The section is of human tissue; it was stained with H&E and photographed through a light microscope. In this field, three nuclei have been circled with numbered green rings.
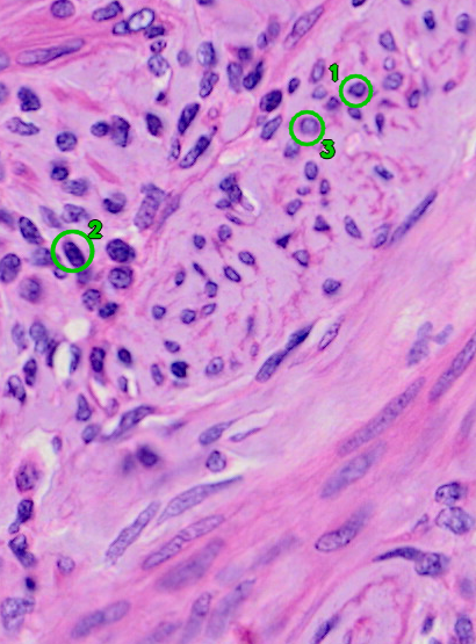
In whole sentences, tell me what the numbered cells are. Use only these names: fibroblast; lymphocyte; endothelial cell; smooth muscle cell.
Cells 1 and 3 are smooth muscle cells. Cell 2 is a lymphocyte.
